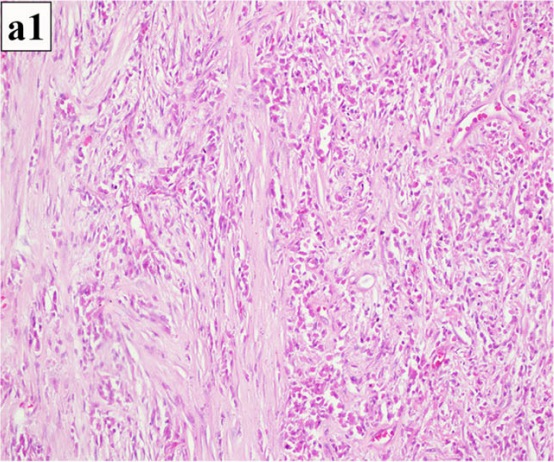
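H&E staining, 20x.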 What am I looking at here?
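This lesion tissue shows fibrous tissue with a mass of inflammatory cell infiltration. Pink, wavy bundles of fibrous tissue run through the field and separate areas crowded with small cells with dark purple nuclei. Small vessels with thin walls can be made out among the cells. No rounded granuloma is evident.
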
